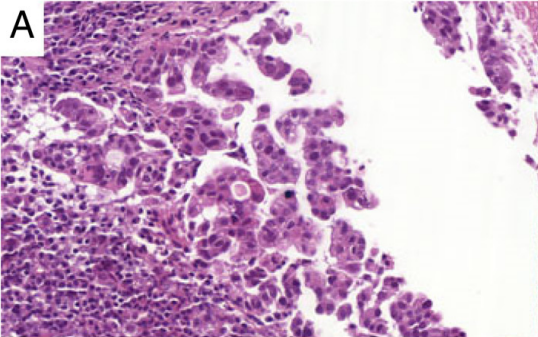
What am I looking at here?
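Tumor cells have moderate pink cytoplasm and rounded, darkly stained nuclei, crowded and overlapping. The clusters lie along a tissue edge, partly detached into an empty space. To the left and below, dense sheets of small round lymphoid cells with scant cytoplasm surround the tumor groups.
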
